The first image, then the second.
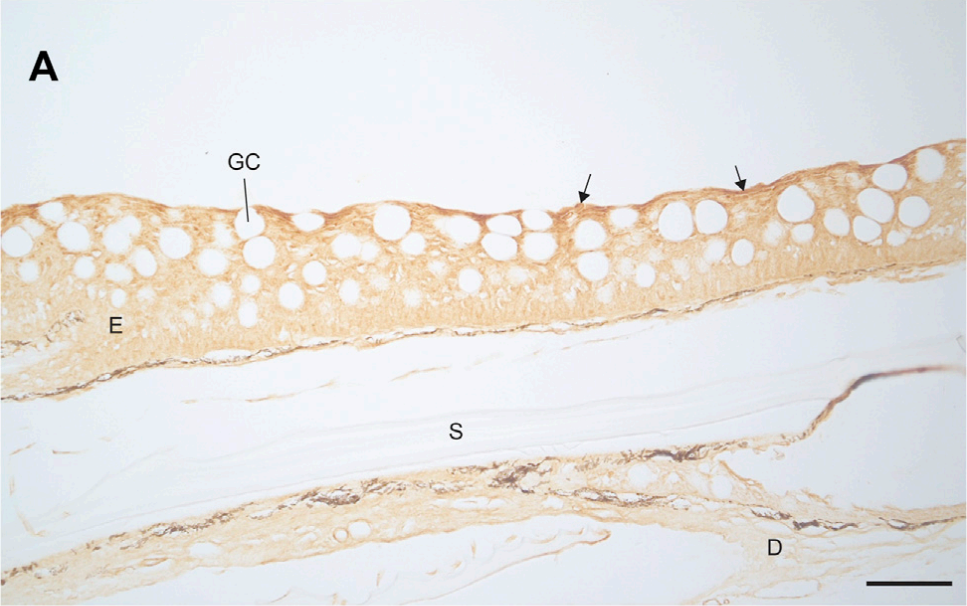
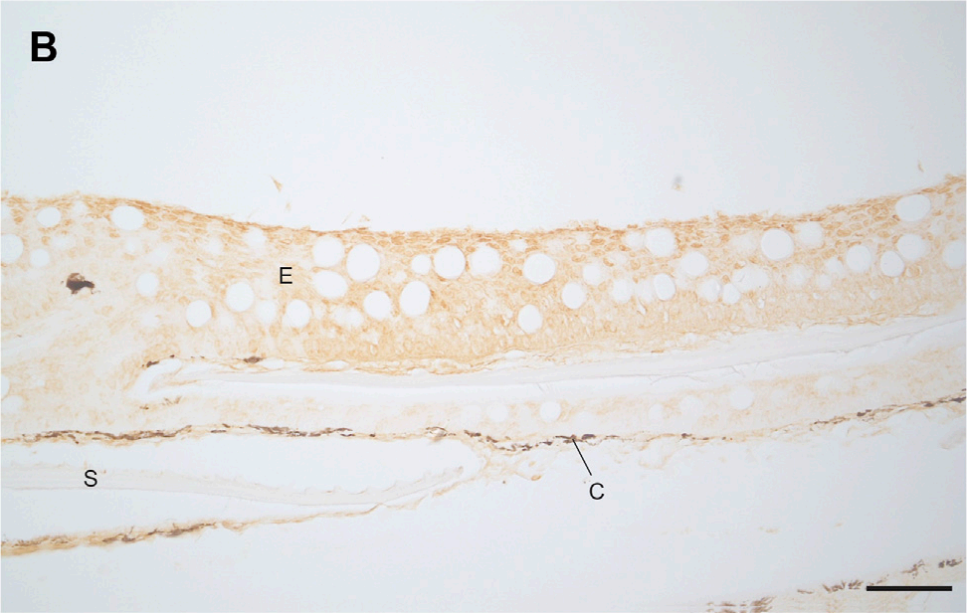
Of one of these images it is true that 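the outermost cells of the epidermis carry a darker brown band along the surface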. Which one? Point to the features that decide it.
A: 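The first image. Second image: the epidermal surface is pale brown, much like the layers below. First image: a distinct darker reddish-brown rim runs along the epidermal surface.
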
